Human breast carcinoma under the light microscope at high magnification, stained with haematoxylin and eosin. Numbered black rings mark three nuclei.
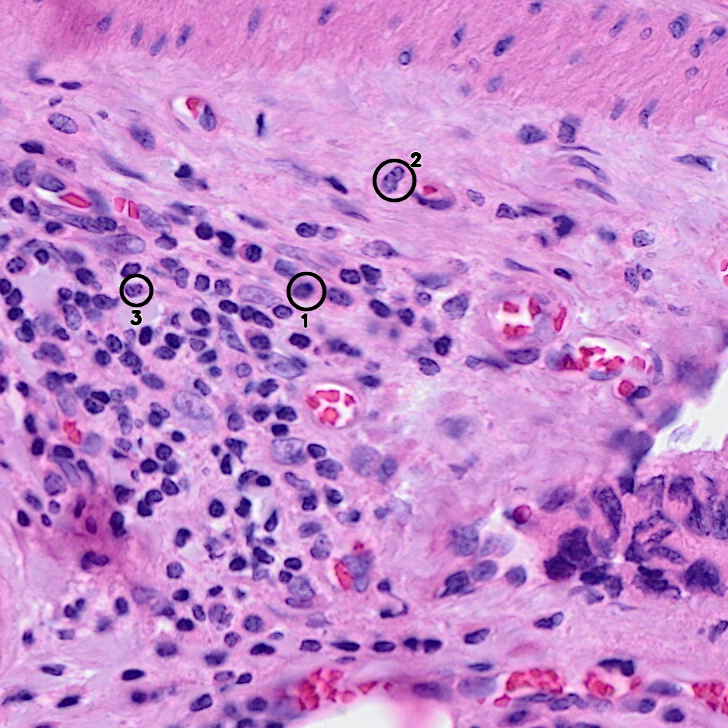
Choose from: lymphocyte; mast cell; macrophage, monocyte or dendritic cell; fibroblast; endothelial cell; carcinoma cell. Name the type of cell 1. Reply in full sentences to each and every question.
The expected answer is that cell 1 is a lymphocyte.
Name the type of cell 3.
Denoted by the label 3 in the section is a lymphocyte.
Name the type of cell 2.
The cell identified by number 2 is a mast cell.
